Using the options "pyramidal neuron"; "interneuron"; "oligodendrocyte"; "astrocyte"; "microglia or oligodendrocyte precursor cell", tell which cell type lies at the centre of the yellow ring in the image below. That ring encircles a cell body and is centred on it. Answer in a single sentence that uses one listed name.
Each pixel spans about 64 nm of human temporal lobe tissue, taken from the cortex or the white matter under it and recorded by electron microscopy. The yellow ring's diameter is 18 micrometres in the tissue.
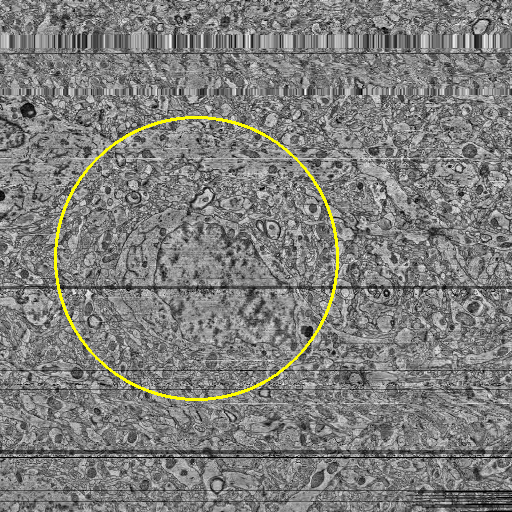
At the centre of the yellow ring lies the body of an interneuron.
